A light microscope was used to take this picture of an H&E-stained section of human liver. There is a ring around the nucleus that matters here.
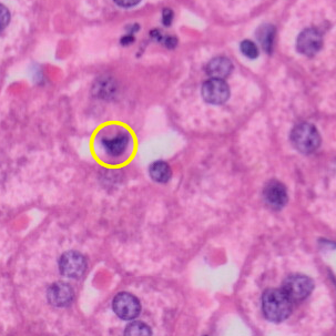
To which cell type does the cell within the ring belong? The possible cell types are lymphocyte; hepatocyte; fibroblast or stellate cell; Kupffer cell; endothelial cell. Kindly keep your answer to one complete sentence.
Within this tissue, the cell within the ring is a fibroblast or stellate cell.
